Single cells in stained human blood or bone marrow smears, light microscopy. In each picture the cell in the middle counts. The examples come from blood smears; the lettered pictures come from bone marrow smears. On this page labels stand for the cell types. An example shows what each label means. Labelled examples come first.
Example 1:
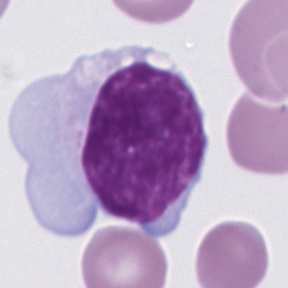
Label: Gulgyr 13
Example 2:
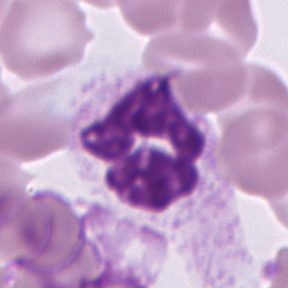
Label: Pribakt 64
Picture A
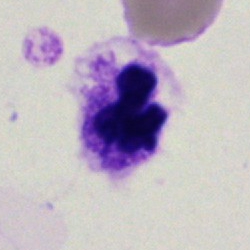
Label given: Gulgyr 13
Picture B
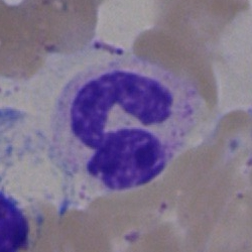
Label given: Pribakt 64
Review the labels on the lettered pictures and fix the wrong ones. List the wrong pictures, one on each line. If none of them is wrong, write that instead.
A: change Gulgyr 13 to Pribakt 64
